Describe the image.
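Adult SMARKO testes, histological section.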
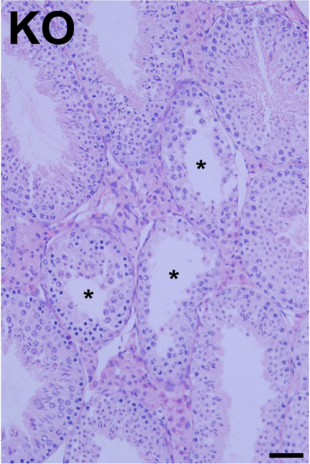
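Three tubules marked by asterisks have a thinner, sparser cell lining with fewer layers of germ cells and a comparatively empty lumen, indicating disturbed spermatogenesis. Pink-staining interstitial cells lie between the tubules.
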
